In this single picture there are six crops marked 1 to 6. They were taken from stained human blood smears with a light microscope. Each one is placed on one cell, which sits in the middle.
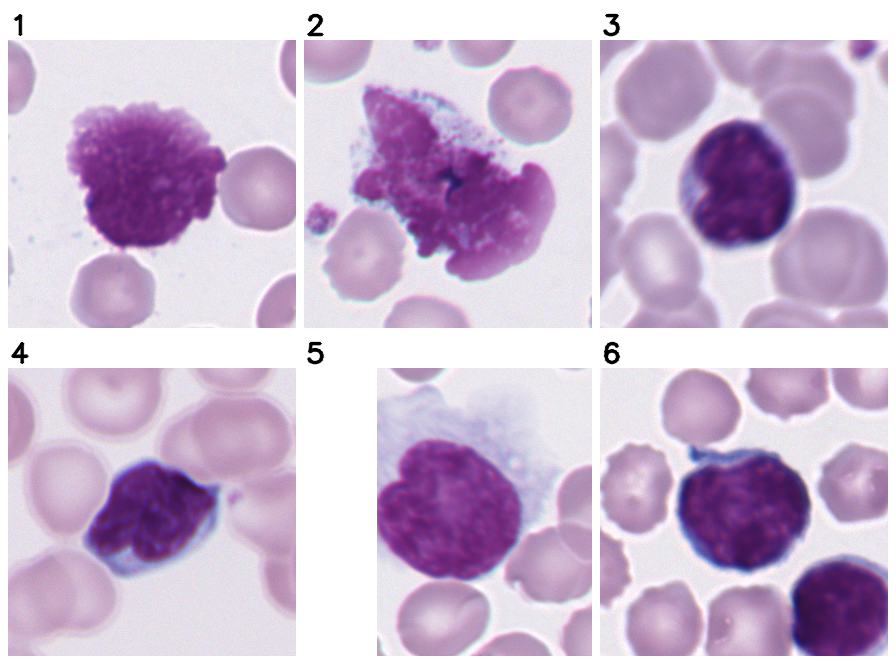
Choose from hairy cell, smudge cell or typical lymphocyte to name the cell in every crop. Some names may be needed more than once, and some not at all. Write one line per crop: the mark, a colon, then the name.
1: smudge cell
2: smudge cell
3: typical lymphocyte
4: typical lymphocyte
5: hairy cell
6: typical lymphocyte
